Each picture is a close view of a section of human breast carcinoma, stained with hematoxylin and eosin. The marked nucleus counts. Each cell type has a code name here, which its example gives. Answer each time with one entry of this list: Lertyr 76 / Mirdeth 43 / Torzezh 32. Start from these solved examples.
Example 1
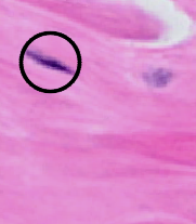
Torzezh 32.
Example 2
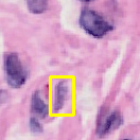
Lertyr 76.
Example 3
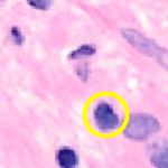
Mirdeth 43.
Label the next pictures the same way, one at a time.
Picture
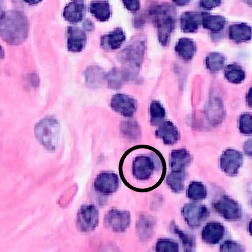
Mirdeth 43.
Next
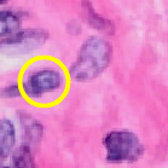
Lertyr 76.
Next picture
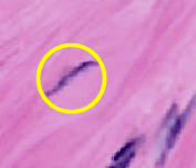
Torzezh 32.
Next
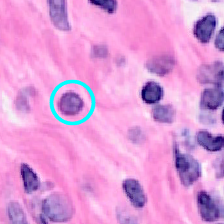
Mirdeth 43.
